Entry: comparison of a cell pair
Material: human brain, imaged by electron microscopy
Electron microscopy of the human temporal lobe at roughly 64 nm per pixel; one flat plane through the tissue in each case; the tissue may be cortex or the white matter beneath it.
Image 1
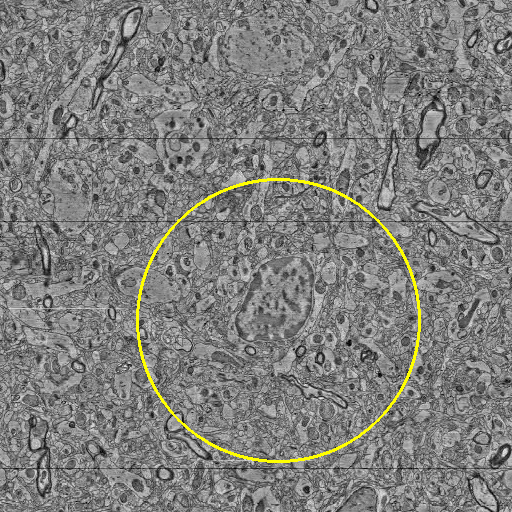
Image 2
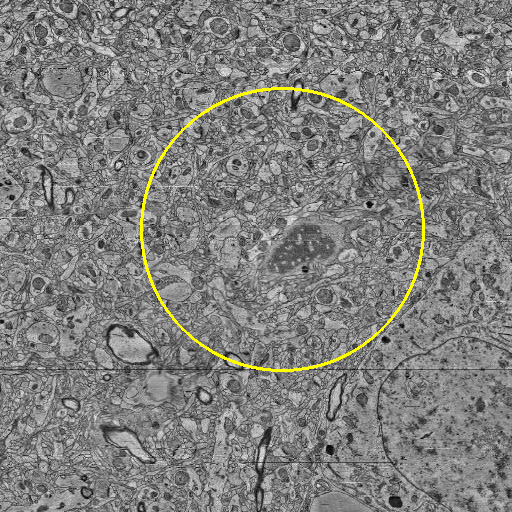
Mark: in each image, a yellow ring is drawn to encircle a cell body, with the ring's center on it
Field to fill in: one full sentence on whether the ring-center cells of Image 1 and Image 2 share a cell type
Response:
No, Image 1 and Image 2 show ring-center cells of two separate types.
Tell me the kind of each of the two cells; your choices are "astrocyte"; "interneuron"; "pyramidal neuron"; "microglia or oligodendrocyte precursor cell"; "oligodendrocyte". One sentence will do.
The ringed cell is a microglial cell or oligodendrocyte precursor cell in the first picture and an oligodendrocyte in the second picture.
